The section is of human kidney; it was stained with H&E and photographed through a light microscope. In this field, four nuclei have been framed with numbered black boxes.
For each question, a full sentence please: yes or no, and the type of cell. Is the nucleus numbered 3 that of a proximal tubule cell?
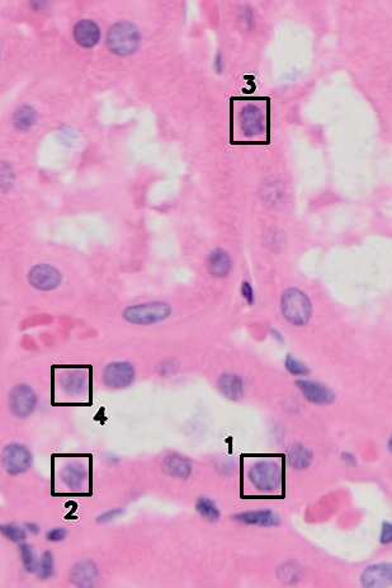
Yes, cell number 3 is classified as a proximal tubule cell.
